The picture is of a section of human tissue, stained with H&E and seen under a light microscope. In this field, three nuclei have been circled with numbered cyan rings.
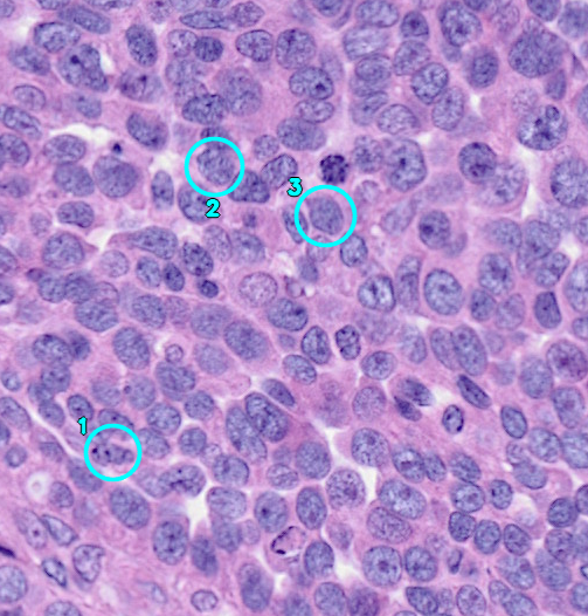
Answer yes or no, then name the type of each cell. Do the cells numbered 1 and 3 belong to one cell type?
No, cell 1 is recognized as a macrophage or monocyte, and cell 3 as a carcinoma cell.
